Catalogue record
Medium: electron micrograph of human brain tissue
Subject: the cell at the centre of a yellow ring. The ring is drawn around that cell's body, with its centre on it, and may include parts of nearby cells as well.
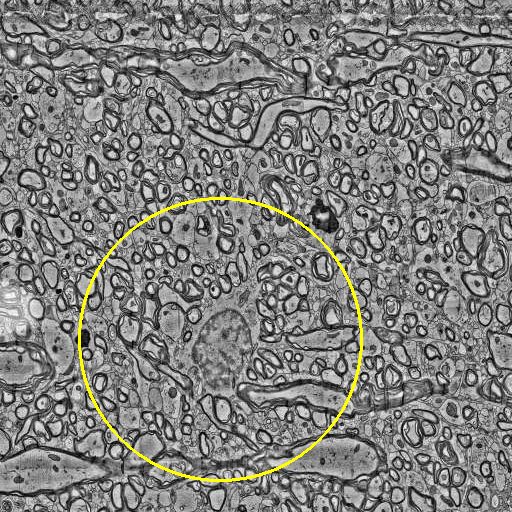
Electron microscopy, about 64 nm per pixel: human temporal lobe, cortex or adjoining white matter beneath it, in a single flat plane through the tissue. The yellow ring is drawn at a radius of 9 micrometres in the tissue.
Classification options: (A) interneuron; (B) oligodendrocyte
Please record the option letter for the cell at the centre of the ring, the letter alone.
B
